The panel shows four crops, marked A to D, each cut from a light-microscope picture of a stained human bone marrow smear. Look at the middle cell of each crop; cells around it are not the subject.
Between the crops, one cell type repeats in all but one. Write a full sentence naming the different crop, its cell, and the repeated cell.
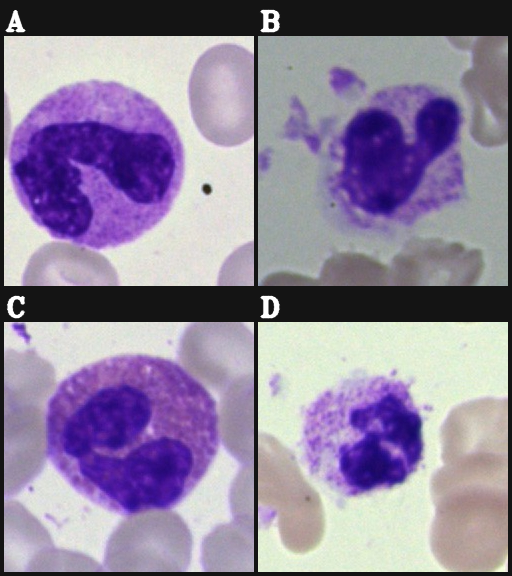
All the crops contain segmented neutrophils save crop C, where there is an eosinophil.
